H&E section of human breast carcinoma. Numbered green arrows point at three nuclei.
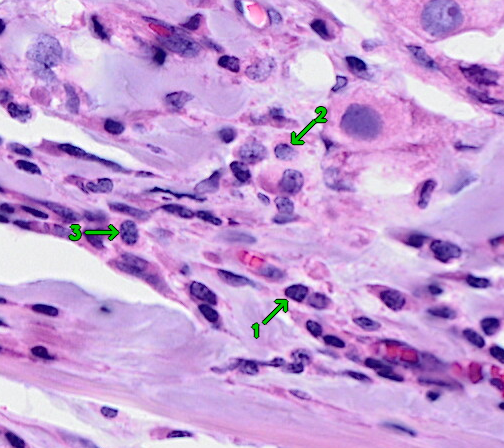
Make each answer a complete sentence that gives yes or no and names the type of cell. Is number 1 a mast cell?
No, the cell given number 1 is a lymphocyte, as opposed to a mast cell.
